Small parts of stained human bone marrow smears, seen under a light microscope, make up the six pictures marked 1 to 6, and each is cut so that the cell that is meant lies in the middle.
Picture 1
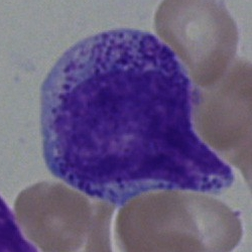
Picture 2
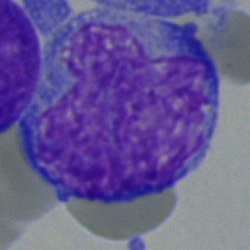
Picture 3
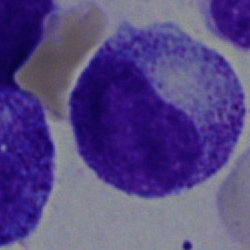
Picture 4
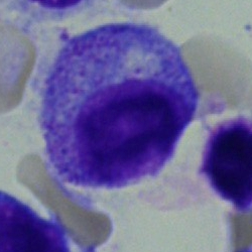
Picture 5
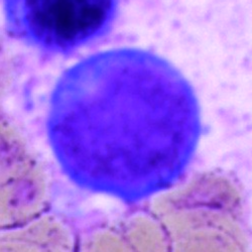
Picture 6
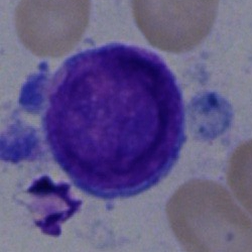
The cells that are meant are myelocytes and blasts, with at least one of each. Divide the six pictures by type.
1: myelocyte
2: blast
3: myelocyte
4: myelocyte
5: blast
6: blast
